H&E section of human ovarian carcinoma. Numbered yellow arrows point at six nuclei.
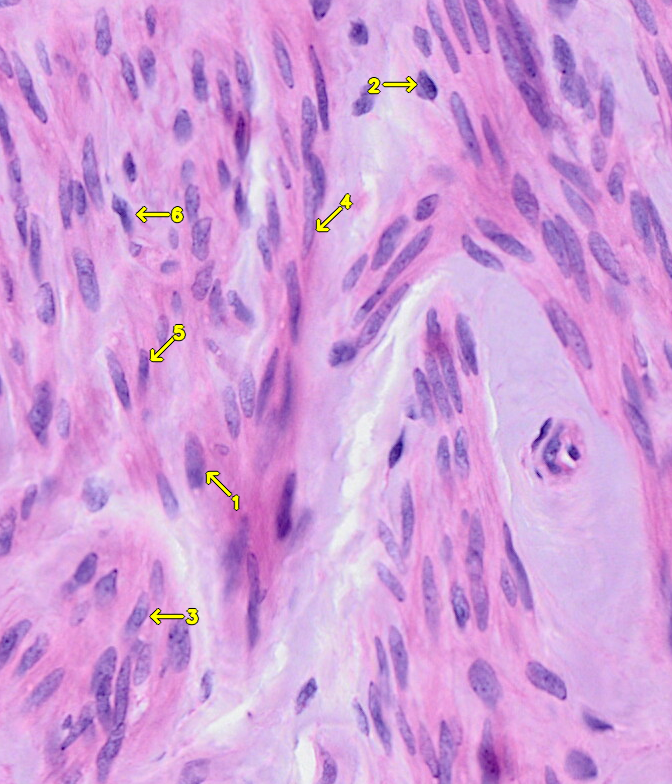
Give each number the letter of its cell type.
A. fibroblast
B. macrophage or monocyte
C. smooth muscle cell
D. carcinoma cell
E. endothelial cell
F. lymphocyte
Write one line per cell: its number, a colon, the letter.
1: C
2: A
3: C
4: C
5: C
6: A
